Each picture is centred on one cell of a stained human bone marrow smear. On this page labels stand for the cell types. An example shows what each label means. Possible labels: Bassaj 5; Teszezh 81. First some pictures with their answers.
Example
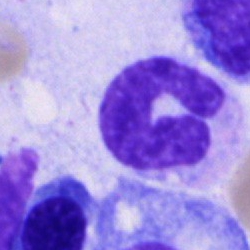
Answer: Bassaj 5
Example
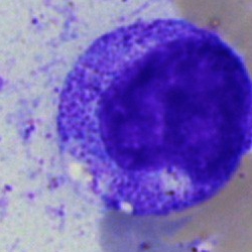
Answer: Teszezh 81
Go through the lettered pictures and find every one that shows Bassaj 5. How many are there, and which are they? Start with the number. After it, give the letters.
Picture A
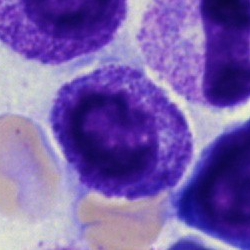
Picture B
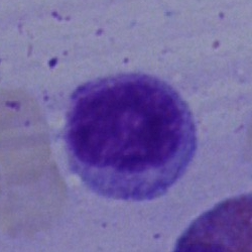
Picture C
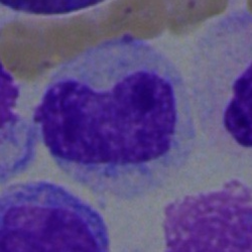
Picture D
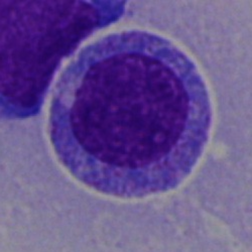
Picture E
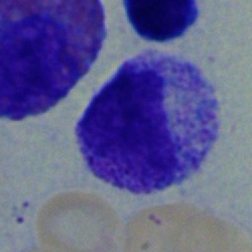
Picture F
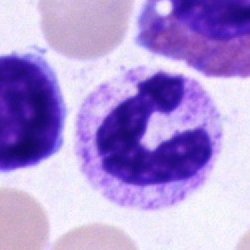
2: C, F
